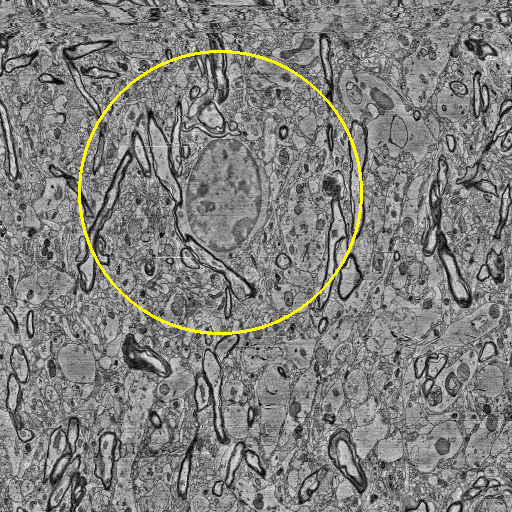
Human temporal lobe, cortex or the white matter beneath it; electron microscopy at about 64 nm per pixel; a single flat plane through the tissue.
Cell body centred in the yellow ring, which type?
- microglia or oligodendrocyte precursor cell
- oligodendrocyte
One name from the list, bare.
oligodendrocyte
